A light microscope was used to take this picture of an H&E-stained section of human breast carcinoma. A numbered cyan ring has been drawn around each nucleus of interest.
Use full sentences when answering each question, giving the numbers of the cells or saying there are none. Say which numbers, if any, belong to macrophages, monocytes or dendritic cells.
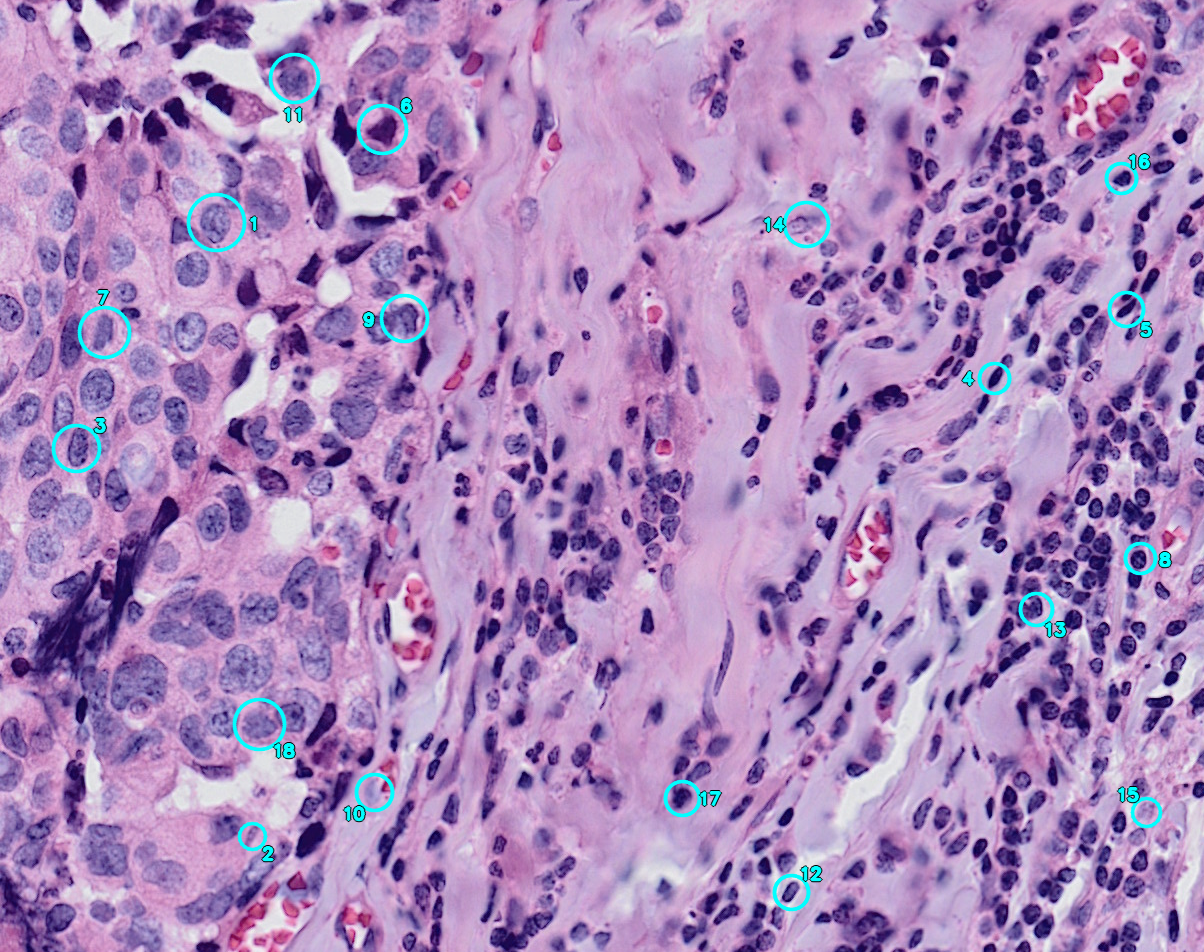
The cells assigned the numbers 14 and 15 are macrophages, monocytes or dendritic cells.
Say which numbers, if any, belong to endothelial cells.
Cell 10 is an endothelial cell, while all remaining marked cells are of other types.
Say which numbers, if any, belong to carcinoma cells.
The cells marked 1, 2, 3, 6, 7, 9, 11 and 18 in the section are carcinoma cells.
